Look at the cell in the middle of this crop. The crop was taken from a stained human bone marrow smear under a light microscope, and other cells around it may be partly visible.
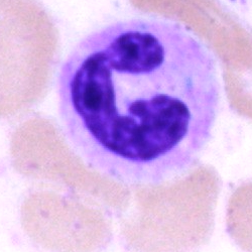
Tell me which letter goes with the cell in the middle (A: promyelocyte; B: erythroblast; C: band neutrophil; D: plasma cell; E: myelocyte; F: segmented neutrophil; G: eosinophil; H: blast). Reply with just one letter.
F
